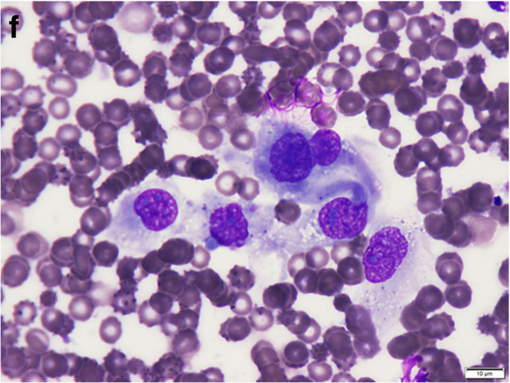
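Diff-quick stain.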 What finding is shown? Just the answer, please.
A: Anisokaryosis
